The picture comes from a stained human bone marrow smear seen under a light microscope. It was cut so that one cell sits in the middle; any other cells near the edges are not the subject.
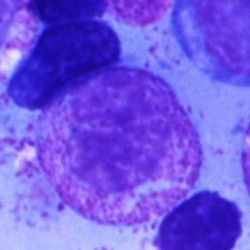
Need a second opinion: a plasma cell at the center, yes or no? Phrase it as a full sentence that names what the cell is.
No, in this crop the central cell is a myelocyte instead of a plasma cell.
